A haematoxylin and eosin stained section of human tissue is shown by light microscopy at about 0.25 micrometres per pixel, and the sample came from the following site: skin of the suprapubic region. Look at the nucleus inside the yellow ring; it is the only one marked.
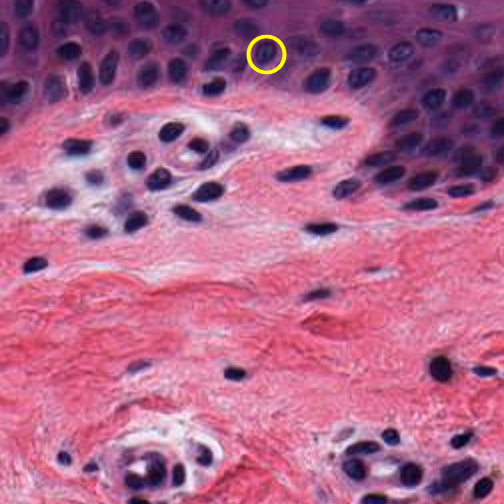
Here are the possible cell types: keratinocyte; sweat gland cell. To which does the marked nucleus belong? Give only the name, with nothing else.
keratinocyte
